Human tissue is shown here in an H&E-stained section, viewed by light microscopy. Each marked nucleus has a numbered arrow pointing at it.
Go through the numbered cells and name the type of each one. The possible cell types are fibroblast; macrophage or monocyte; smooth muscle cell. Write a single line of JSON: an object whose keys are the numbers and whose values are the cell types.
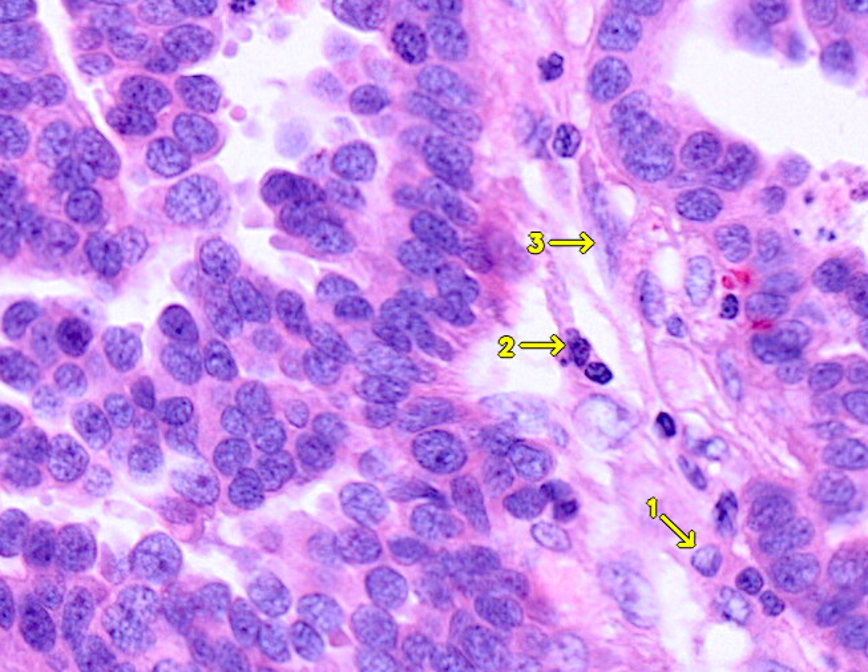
{"1": "macrophage or monocyte", "2": "macrophage or monocyte", "3": "fibroblast"}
